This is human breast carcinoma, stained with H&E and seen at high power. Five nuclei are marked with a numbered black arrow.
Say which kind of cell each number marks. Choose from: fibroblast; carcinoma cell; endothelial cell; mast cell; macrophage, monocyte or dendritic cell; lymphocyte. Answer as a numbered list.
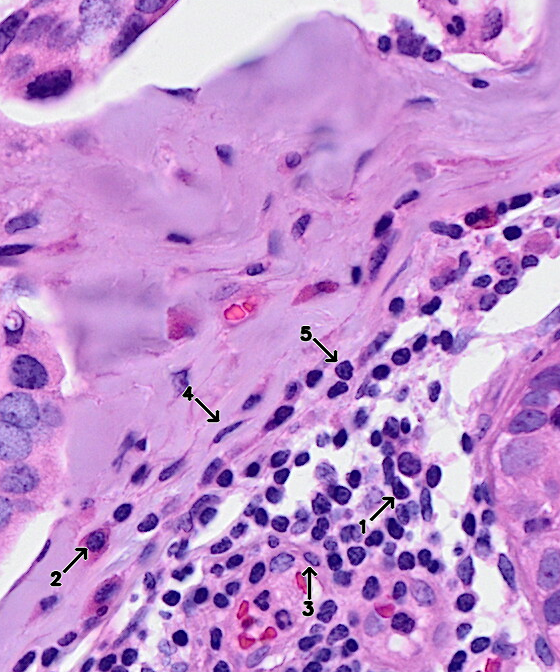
1. lymphocyte
2. mast cell
3. endothelial cell
4. fibroblast
5. lymphocyte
